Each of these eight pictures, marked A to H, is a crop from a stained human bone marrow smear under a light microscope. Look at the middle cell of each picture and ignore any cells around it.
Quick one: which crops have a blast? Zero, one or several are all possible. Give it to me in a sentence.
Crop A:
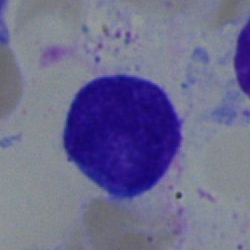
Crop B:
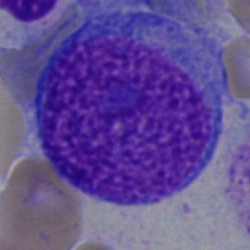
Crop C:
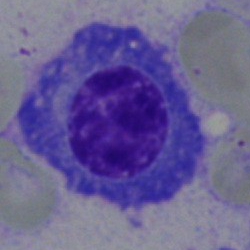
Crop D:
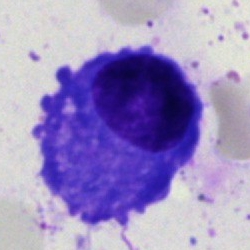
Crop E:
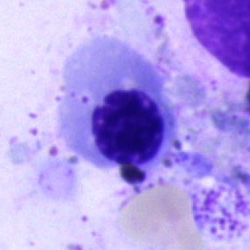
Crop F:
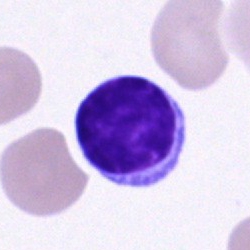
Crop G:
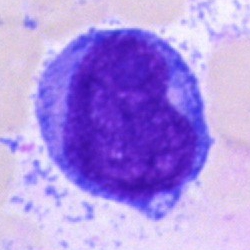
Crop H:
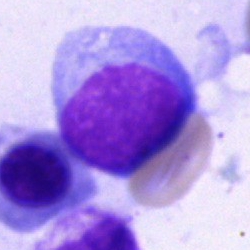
Form entry, crops A, B, G and H: central cells are blasts.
